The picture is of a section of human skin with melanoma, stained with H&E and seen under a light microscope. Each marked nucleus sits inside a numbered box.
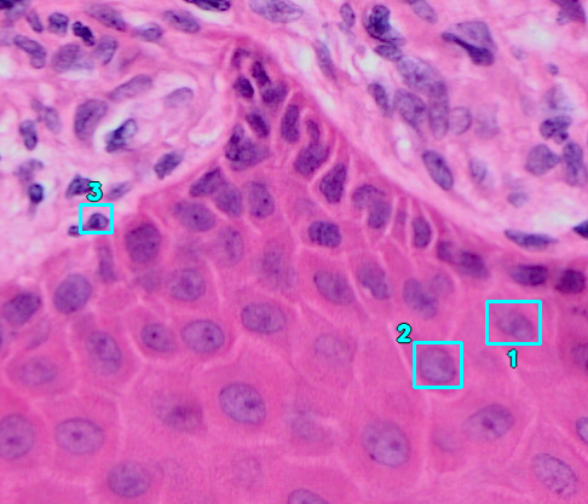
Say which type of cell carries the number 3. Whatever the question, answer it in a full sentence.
The cell given label 3 is a lymphocyte.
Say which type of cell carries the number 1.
The cell given label 1 is a keratinocyte.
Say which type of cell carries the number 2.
In this section, the cell tagged 2 is a keratinocyte.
